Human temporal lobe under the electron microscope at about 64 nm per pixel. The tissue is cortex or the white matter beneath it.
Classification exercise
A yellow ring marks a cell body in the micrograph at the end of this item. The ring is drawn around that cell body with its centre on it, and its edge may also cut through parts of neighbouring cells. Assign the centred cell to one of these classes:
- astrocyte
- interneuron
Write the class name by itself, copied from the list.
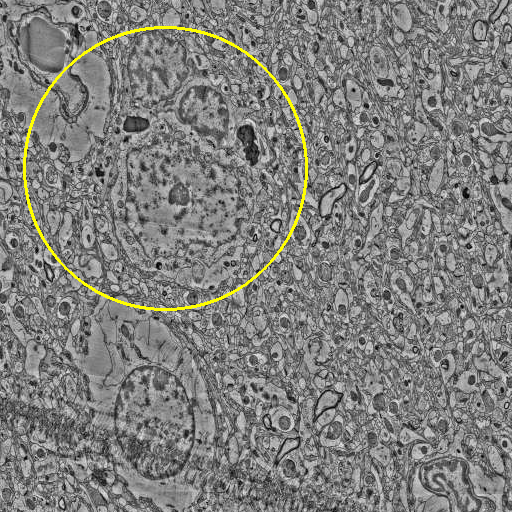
interneuron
